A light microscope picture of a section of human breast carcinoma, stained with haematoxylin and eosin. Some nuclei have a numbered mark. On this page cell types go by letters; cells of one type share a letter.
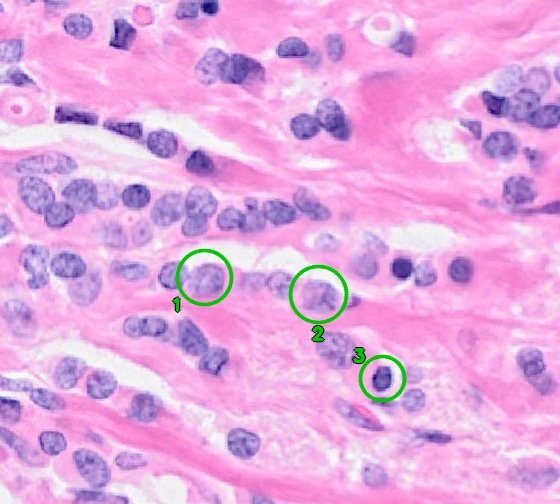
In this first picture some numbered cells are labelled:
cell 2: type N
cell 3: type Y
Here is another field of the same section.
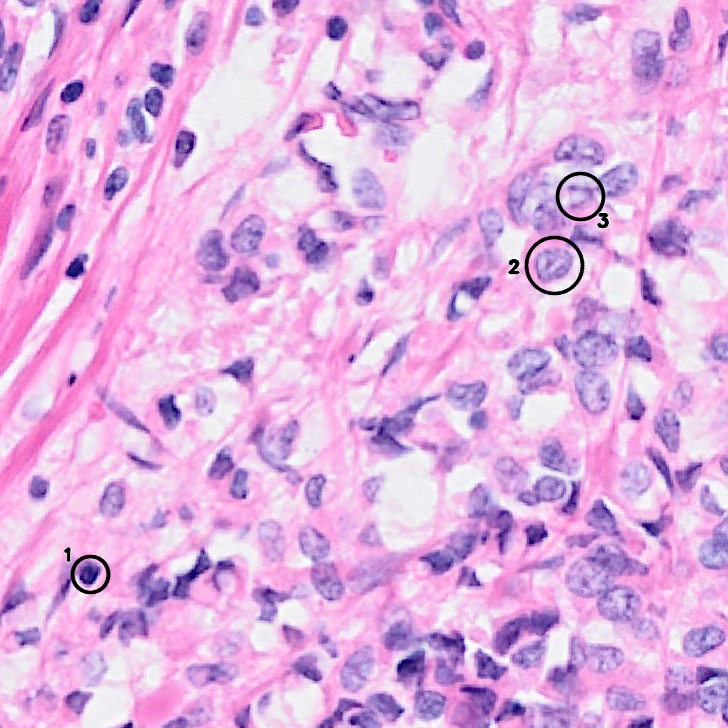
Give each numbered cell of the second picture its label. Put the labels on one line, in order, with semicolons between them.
type Y; type N; type N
